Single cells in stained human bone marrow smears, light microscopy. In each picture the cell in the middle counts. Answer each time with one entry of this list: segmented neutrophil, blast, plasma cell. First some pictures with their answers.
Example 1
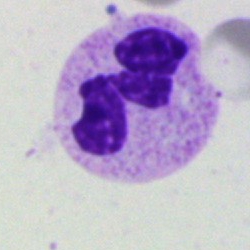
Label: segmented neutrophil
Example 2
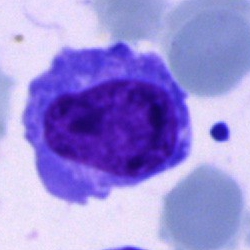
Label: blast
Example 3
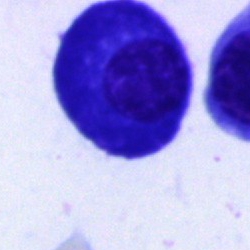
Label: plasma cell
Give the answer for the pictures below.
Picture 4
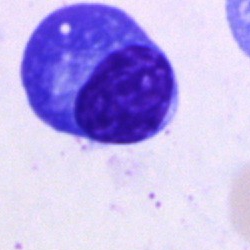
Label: plasma cell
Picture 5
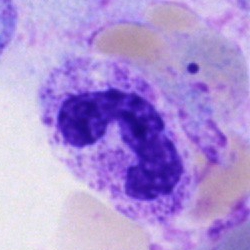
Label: segmented neutrophil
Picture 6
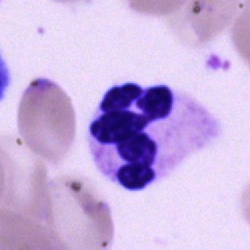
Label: segmented neutrophil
